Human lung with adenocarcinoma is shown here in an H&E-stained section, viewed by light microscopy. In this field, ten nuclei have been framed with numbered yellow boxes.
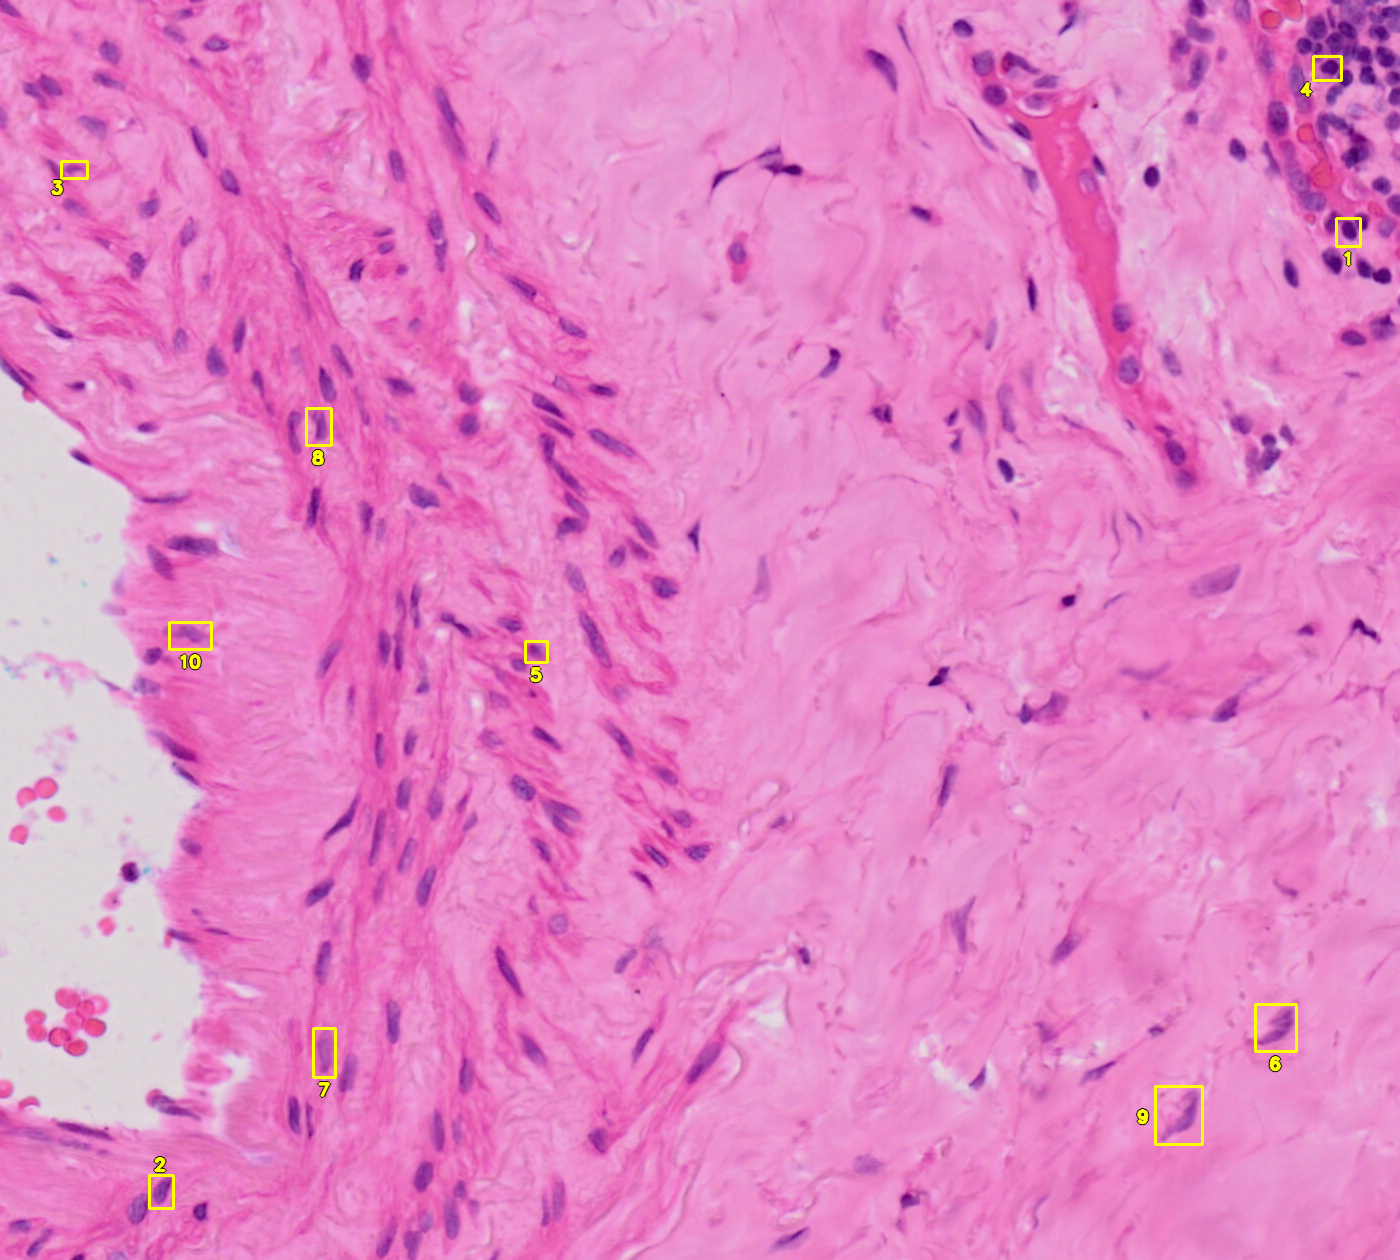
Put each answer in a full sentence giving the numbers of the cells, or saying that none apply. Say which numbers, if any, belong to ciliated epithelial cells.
Not one numbered cell here is one of the ciliated epithelial cells.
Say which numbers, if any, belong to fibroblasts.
On this slide, the cells numbered 6 and 9 are fibroblasts.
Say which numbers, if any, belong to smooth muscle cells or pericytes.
Cells 2, 3, 5, 7, 8 and 10 share one type; they are smooth muscle cells or pericytes.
